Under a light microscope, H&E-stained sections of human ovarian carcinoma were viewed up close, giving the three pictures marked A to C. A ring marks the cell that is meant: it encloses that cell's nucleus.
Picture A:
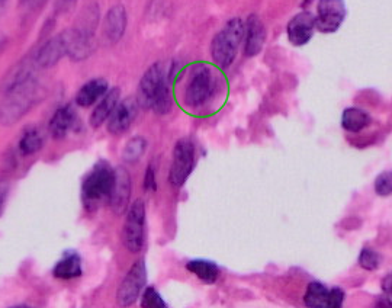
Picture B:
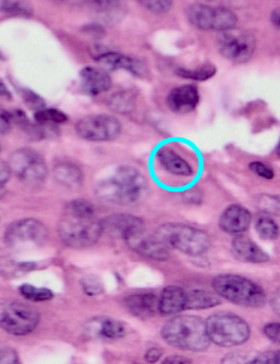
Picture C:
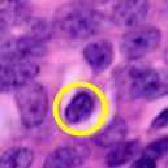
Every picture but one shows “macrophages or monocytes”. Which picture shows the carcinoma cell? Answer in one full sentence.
It is picture A that shows the carcinoma cell.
